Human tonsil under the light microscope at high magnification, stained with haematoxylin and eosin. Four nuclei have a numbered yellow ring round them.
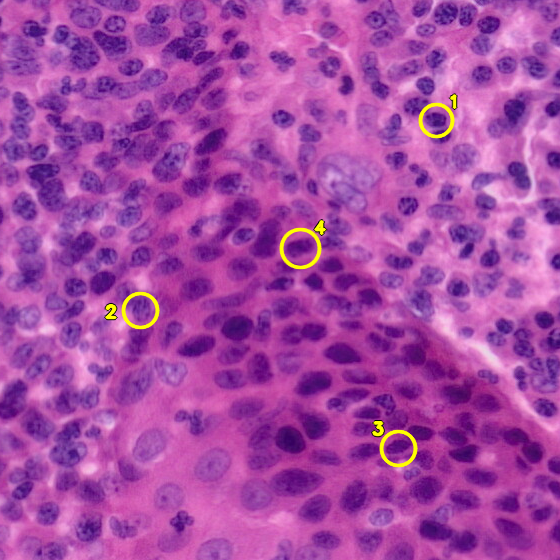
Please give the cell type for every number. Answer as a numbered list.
1. plasma cell
2. squamous epithelial cell
3. squamous epithelial cell
4. squamous epithelial cell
